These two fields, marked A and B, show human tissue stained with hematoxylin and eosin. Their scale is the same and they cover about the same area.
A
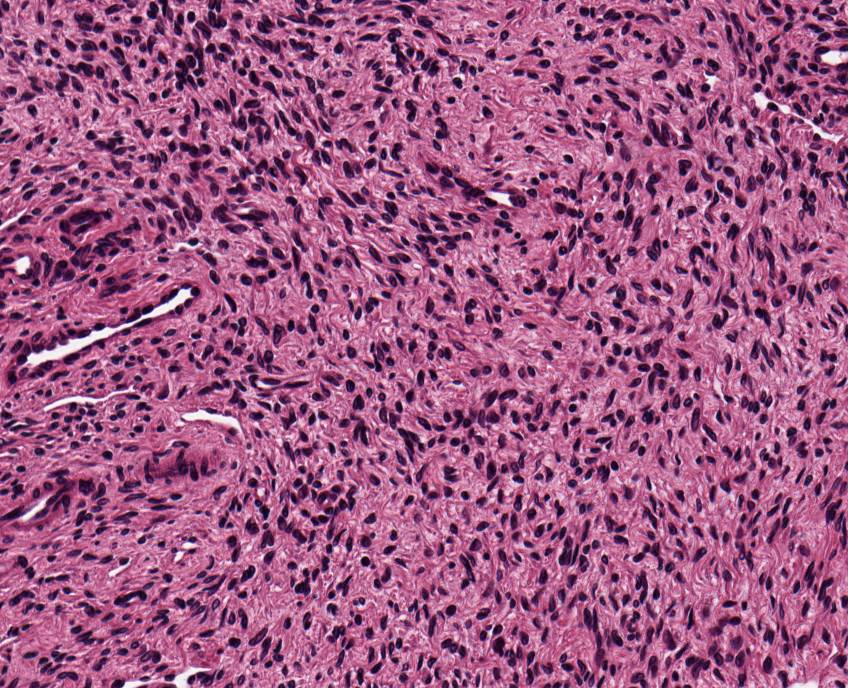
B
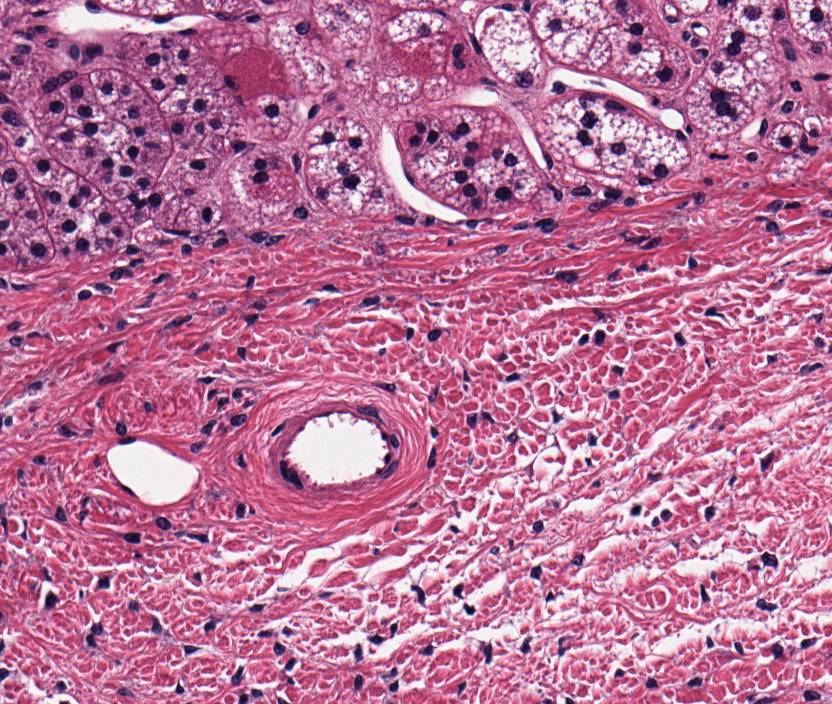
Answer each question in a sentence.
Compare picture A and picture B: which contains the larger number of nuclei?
It is picture A that has more nuclei in it.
